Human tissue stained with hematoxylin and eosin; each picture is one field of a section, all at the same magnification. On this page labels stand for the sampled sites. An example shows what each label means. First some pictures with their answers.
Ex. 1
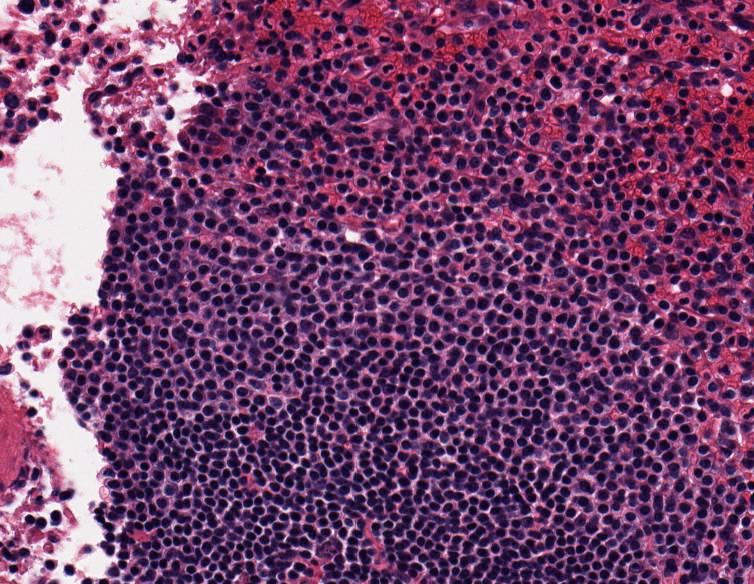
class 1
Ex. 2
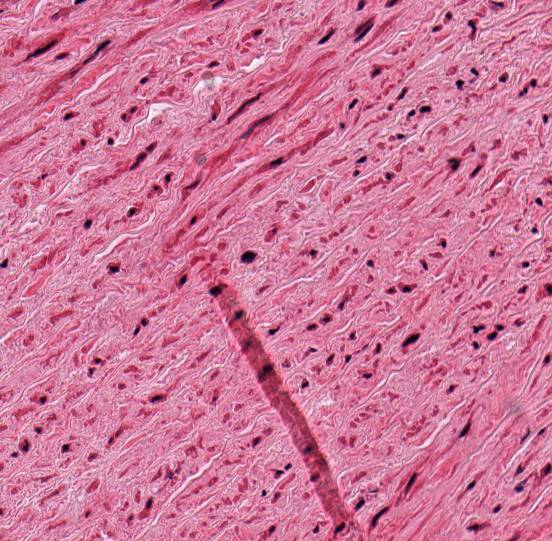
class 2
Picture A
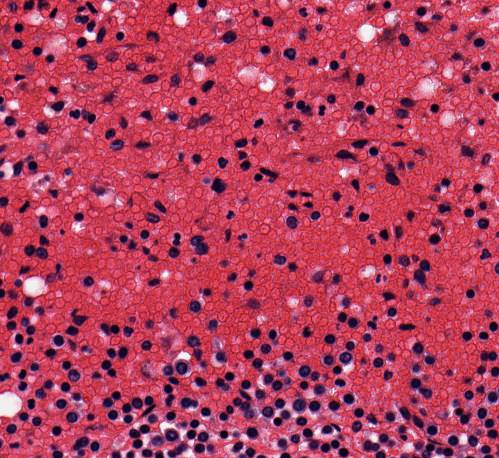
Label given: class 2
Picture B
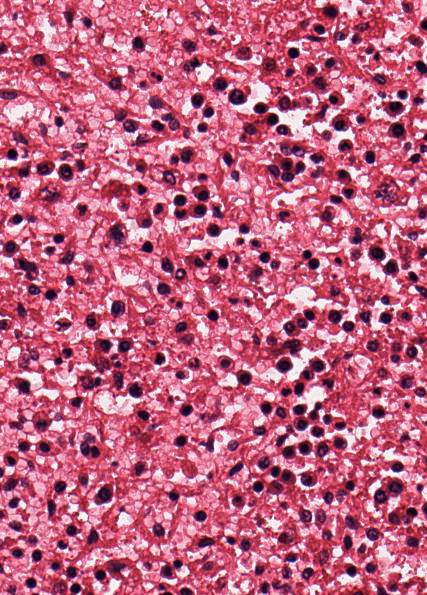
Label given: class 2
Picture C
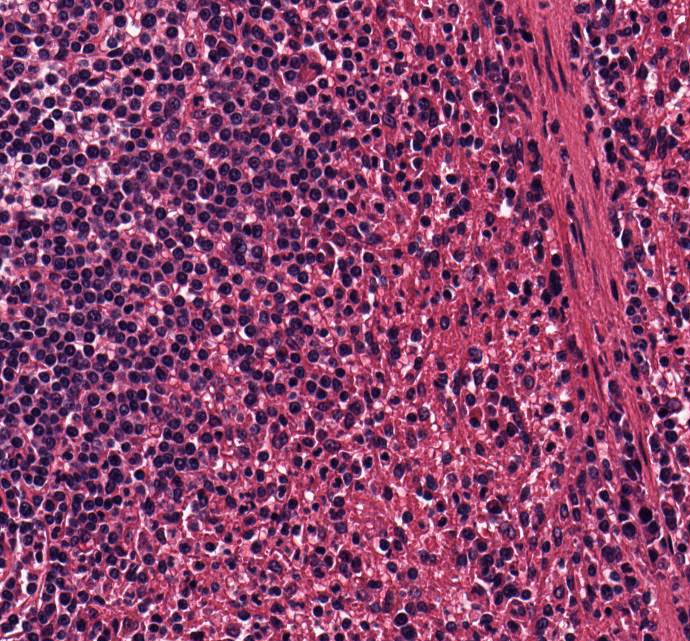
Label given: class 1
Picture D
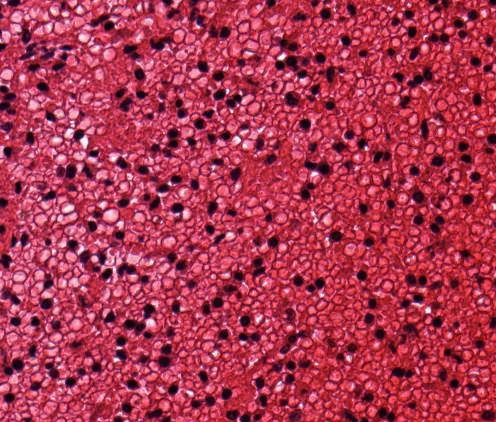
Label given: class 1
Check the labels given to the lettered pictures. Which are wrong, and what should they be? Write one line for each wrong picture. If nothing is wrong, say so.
A is labelled class 2; correct label: class 1
B is labelled class 2; correct label: class 1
